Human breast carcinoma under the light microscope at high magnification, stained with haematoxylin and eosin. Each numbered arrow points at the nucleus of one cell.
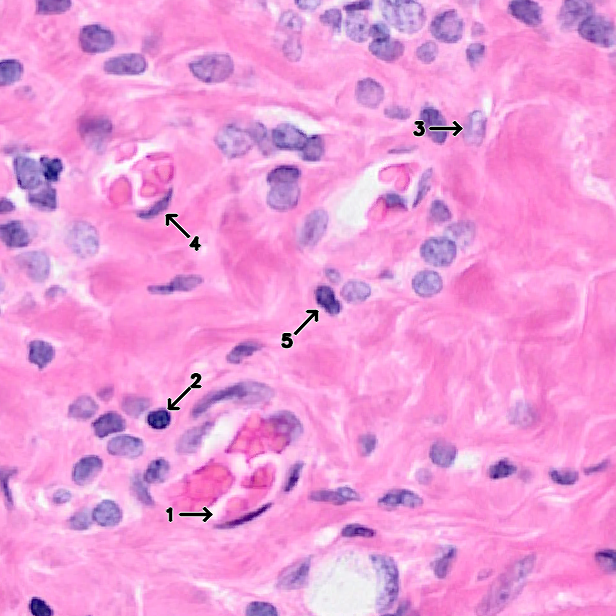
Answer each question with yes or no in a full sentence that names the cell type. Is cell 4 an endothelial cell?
Yes, the cell marked with number 4 is an endothelial cell.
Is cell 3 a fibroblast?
Yes, it checks out; the cell labelled 3 is a fibroblast.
